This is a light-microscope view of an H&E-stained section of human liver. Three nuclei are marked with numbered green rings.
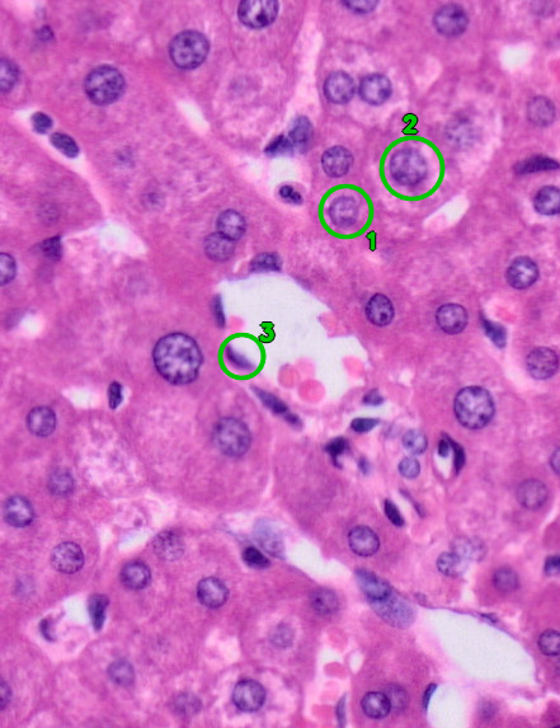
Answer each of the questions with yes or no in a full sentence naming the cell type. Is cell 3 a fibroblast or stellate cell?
Yes, number 3 marks a cell that is a fibroblast or stellate cell.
